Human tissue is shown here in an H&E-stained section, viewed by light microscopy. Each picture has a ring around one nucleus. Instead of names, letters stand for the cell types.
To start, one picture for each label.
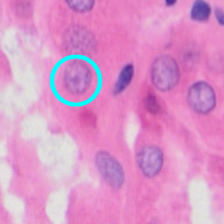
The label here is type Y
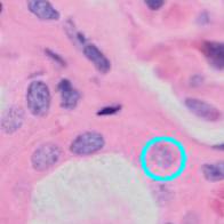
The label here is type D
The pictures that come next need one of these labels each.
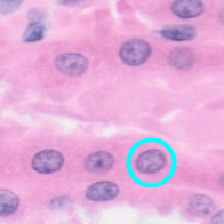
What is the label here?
type Y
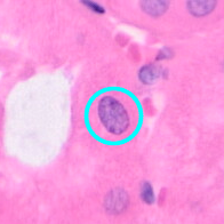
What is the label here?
type Y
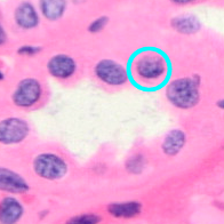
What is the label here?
type D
